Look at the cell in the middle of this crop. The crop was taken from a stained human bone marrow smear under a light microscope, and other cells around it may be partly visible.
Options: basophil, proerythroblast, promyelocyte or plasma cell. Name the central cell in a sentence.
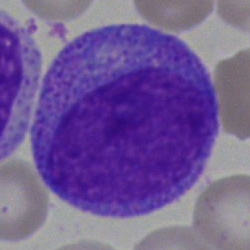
In the middle of this smear crop, the cell is a promyelocyte.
